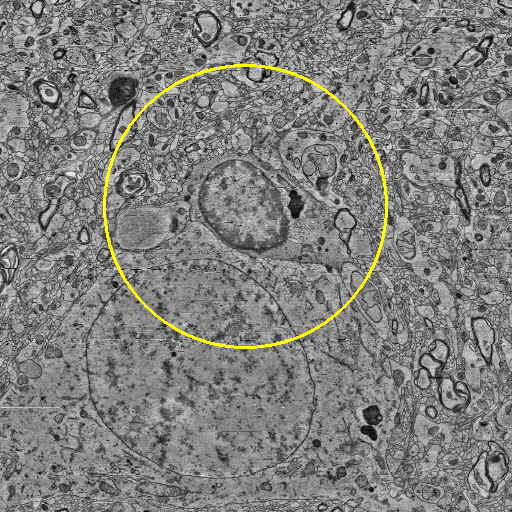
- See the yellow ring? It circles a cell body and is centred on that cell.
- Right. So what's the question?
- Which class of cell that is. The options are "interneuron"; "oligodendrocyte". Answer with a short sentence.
The centre of the ring holds an oligodendrocyte.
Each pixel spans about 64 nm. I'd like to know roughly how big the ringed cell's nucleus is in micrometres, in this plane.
The ringed cell's nucleus measures approximately 7 by 5 micrometres in this plane.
